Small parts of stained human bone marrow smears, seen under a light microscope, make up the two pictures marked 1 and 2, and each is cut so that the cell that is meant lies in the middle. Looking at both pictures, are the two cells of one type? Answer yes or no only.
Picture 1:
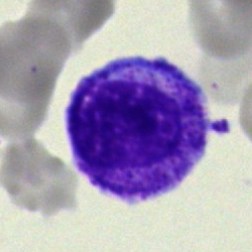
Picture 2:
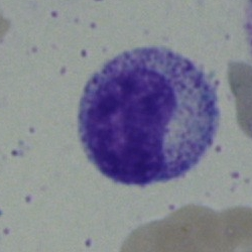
yes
